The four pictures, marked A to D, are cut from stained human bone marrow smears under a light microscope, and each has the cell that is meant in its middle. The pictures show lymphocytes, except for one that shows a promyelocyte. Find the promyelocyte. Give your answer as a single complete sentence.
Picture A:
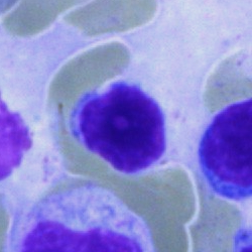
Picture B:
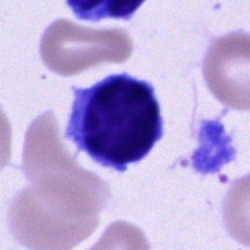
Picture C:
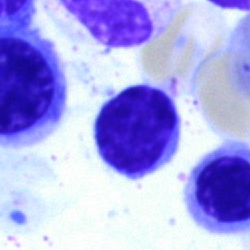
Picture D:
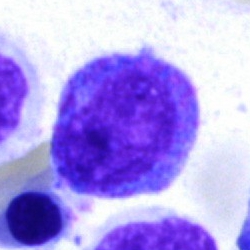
The picture with the promyelocyte is D.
